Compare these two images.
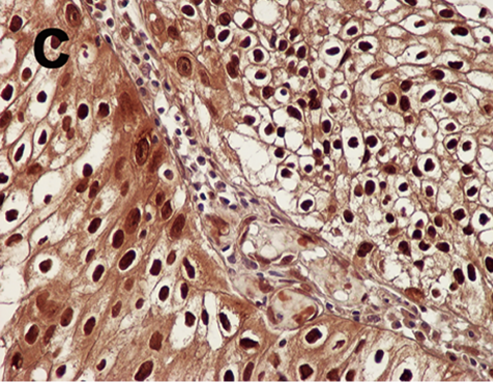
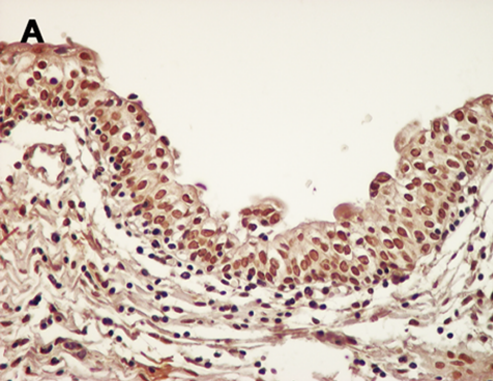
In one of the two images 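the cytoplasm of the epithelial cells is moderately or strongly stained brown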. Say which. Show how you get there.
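First image: many cells, especially in the left nest, have brown-tinged cytoplasm around their nuclei. Second image: the brown stain sits mainly in the nuclei, with paler cytoplasm. So: the first image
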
